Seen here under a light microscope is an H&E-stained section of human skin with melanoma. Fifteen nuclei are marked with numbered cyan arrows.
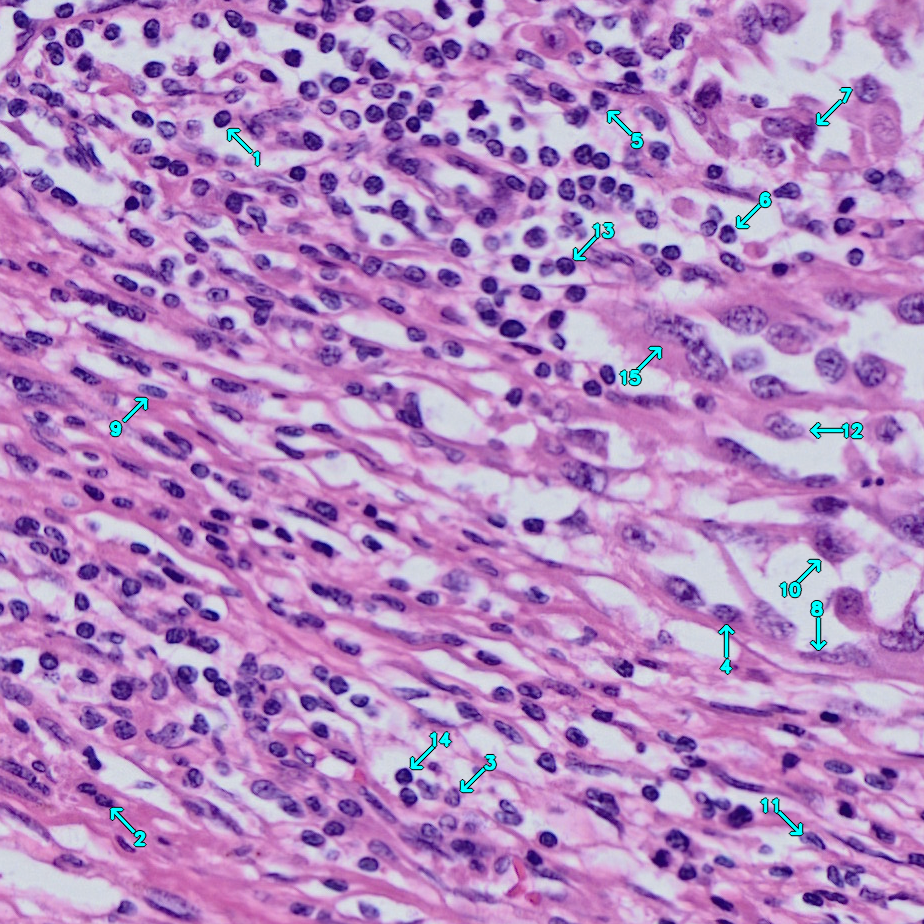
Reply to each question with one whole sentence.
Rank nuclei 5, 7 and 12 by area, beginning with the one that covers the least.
From smallest to largest, the order is 5, 7, 12.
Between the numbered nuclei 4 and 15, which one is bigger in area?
At about 3 times the area of nucleus 4, nucleus 15 is the larger of the two.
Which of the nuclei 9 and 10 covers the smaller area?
Nucleus 9 is the smaller one; nucleus 10 covers about 3 times its area.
